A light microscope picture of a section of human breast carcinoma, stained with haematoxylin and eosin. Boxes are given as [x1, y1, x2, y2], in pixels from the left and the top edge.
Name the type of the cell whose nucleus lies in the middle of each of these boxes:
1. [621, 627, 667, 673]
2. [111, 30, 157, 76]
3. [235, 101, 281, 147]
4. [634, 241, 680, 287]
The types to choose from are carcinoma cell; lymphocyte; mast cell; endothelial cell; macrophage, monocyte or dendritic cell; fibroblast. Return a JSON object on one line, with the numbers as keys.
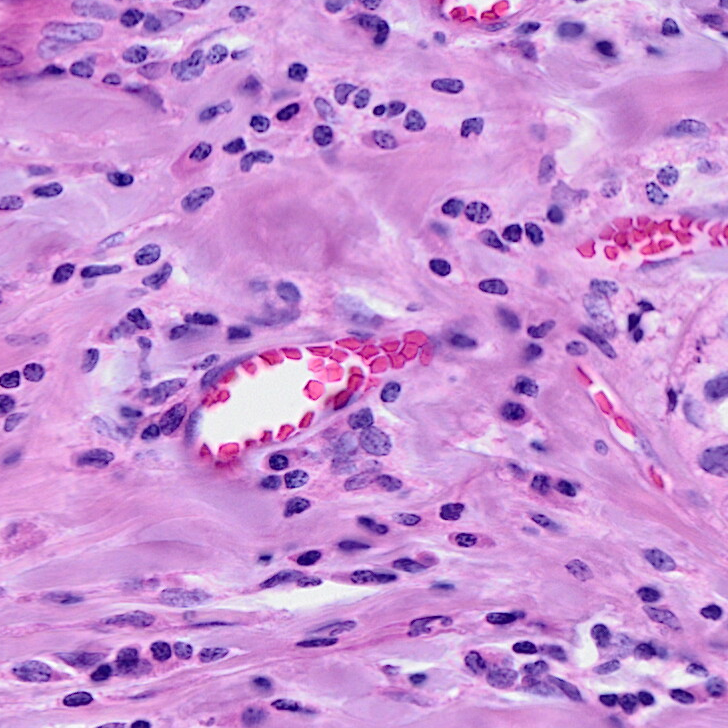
{"1": "lymphocyte", "2": "lymphocyte", "3": "lymphocyte", "4": "endothelial cell"}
